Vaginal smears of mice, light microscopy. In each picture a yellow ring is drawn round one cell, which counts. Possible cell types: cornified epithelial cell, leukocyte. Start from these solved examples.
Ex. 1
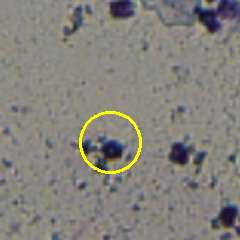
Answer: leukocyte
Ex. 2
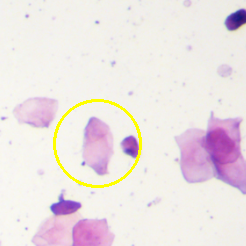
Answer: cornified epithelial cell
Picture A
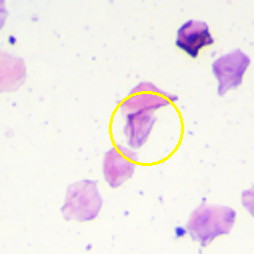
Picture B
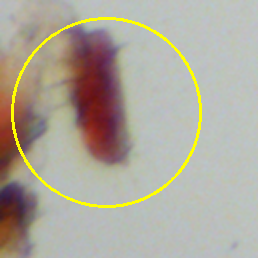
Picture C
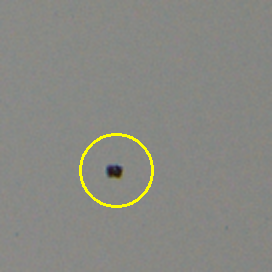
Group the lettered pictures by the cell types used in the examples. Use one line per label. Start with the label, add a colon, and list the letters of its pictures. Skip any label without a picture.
cornified epithelial cell: A, B
leukocyte: C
